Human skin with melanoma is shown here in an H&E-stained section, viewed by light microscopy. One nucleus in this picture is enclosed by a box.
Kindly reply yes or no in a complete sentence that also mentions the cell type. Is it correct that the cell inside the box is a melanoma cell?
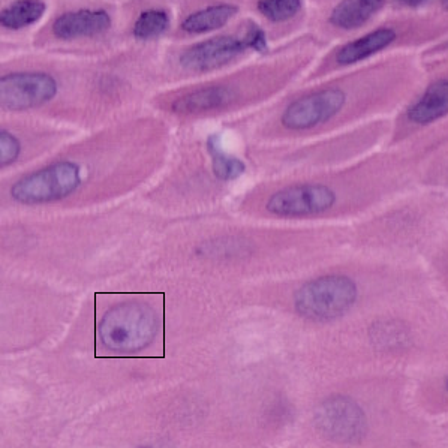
No, the cell inside the box is regarded as a keratinocyte rather than a melanoma cell.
